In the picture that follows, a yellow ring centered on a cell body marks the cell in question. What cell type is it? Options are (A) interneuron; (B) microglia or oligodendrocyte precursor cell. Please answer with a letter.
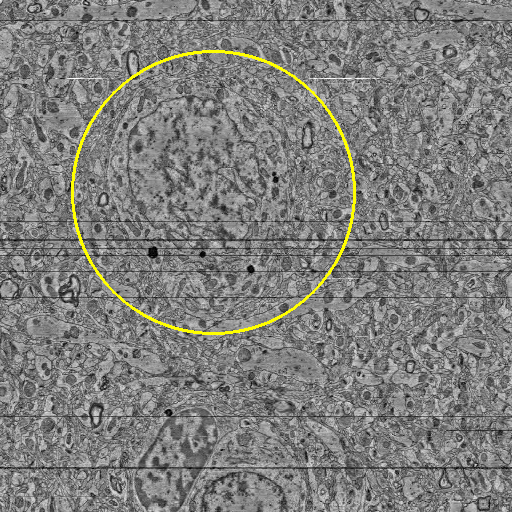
A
